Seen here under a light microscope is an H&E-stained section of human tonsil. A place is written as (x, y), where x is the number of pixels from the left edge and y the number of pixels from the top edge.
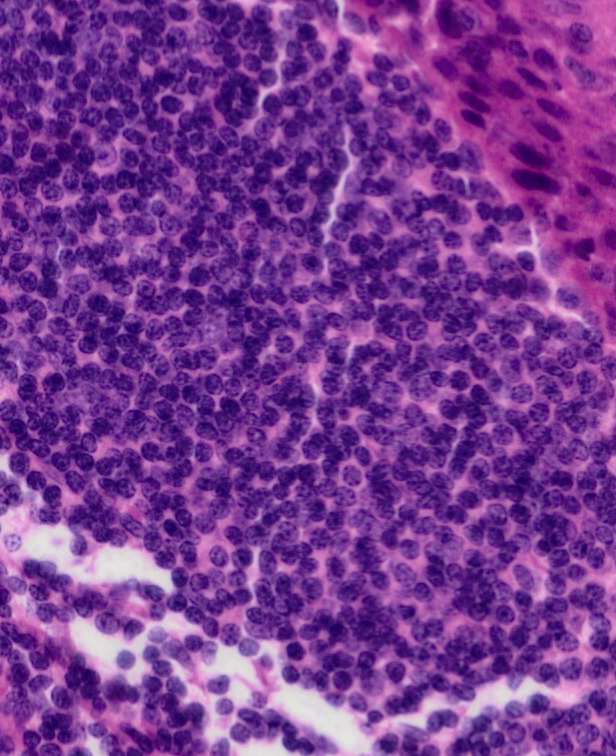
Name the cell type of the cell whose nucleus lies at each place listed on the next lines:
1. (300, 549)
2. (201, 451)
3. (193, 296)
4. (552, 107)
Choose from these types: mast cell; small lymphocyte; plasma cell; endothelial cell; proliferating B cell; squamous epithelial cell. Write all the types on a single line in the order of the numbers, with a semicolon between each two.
small lymphocyte; small lymphocyte; small lymphocyte; squamous epithelial cell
